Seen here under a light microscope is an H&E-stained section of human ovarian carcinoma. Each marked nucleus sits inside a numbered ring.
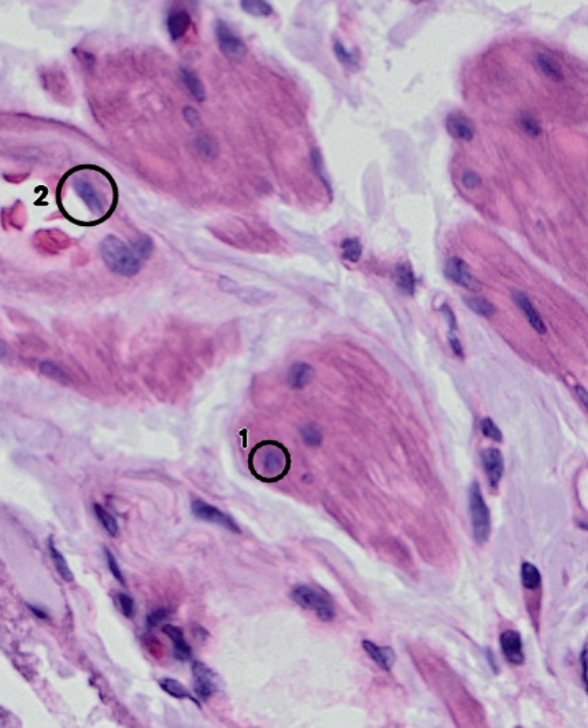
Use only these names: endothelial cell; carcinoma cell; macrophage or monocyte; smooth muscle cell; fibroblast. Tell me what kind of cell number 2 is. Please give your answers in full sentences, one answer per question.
Cell 2 in the field of view is an endothelial cell.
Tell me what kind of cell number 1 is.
The nucleus labelled 1 belongs to a smooth muscle cell.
